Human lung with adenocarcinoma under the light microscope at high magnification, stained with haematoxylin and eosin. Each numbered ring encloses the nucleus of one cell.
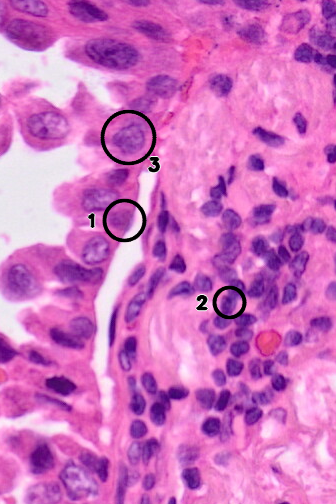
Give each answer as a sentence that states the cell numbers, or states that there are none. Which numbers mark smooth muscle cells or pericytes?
Of the numbered cells, none are smooth muscle cells or pericytes.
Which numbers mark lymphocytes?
Of all the numbered cells, only one is a lymphocyte, and that is cell 2.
